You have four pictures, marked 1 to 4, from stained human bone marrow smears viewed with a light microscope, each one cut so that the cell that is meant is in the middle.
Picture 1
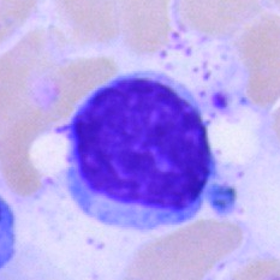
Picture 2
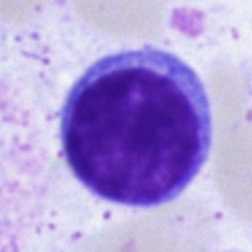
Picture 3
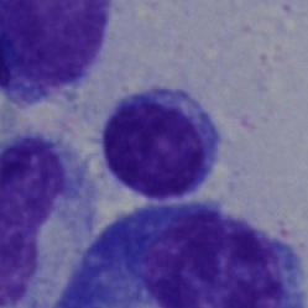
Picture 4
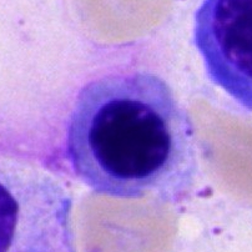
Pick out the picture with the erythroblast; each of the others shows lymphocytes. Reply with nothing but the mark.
4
